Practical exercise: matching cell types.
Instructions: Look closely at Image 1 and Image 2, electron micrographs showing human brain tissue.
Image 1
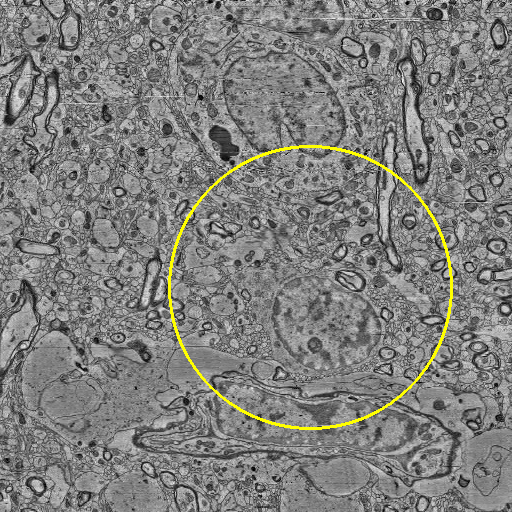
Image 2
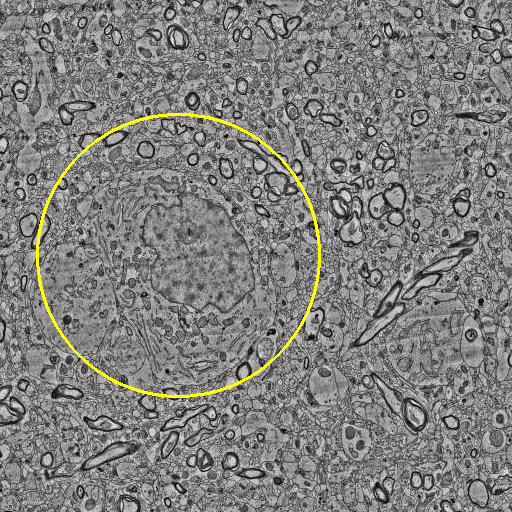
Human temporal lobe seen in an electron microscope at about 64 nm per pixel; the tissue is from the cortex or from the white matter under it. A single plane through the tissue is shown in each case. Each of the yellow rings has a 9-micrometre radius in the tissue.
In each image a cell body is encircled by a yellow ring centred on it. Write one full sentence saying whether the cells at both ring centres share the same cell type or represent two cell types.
Across Image 1 and Image 2, the cells at the ring centres represent two cell types.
